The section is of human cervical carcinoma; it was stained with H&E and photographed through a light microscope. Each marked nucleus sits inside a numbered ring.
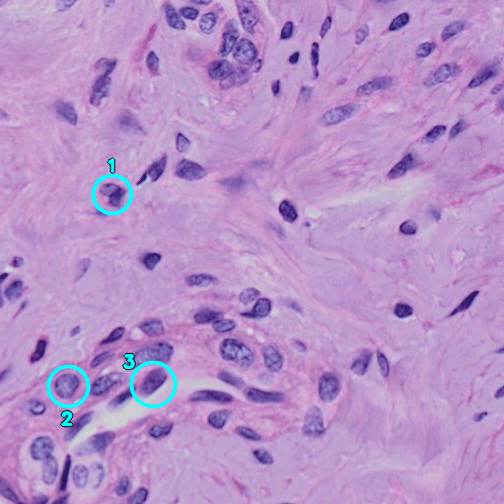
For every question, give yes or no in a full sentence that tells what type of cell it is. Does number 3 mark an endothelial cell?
Yes, that is so; number 3 marks an endothelial cell.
